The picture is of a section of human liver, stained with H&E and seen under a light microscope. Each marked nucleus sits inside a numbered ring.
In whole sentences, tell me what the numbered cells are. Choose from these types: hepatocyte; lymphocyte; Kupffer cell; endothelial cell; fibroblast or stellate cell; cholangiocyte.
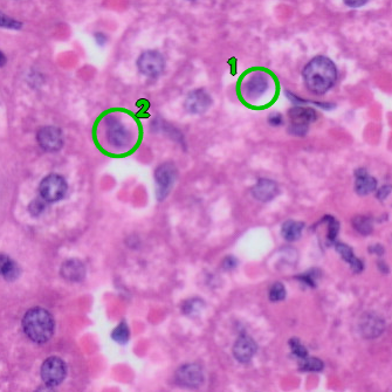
Cell 1 is a Kupffer cell and cell 2 is a fibroblast or stellate cell.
